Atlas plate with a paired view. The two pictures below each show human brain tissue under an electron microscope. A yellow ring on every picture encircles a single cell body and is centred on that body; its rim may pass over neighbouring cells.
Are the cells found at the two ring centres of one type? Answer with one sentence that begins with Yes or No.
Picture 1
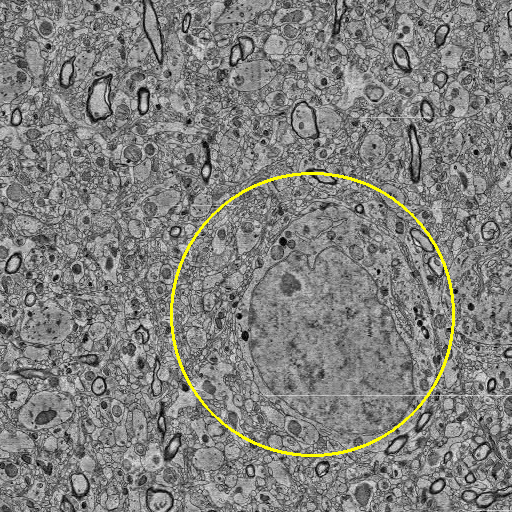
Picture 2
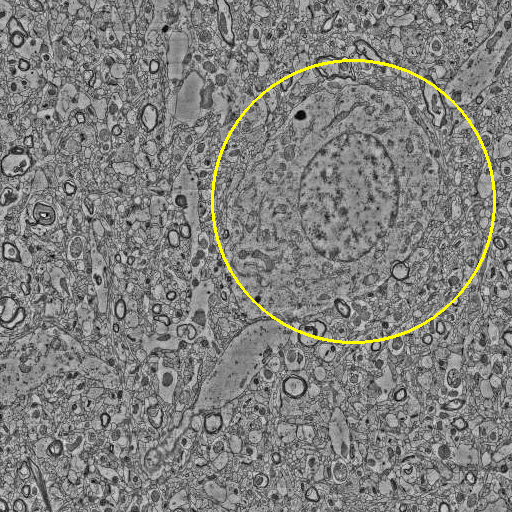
Yes, the two cells lying at the centres of the rings share a single type.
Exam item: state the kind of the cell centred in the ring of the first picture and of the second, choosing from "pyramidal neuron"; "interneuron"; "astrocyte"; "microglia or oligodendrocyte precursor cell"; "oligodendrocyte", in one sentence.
The ring centre holds an interneuron in each of the two pictures.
